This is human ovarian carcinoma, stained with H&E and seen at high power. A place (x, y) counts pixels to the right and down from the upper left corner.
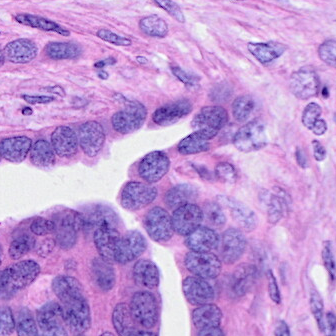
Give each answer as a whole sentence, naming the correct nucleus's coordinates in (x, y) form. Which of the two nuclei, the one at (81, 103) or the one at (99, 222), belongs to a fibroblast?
Of the pair, the nucleus positioned at (81, 103) is that of a fibroblast.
